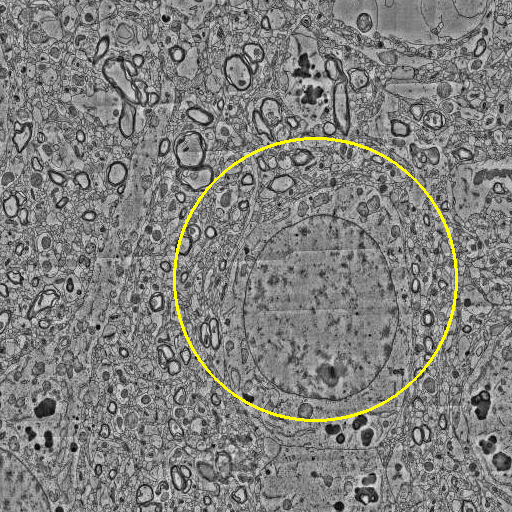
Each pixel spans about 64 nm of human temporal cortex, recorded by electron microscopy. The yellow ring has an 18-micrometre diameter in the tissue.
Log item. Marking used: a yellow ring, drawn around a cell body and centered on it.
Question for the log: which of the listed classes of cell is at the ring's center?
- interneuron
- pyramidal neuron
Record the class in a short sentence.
At the center of the ring lies a pyramidal neuron.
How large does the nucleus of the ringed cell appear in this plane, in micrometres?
In this plane the nucleus measures roughly 12 by 10 micrometres.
